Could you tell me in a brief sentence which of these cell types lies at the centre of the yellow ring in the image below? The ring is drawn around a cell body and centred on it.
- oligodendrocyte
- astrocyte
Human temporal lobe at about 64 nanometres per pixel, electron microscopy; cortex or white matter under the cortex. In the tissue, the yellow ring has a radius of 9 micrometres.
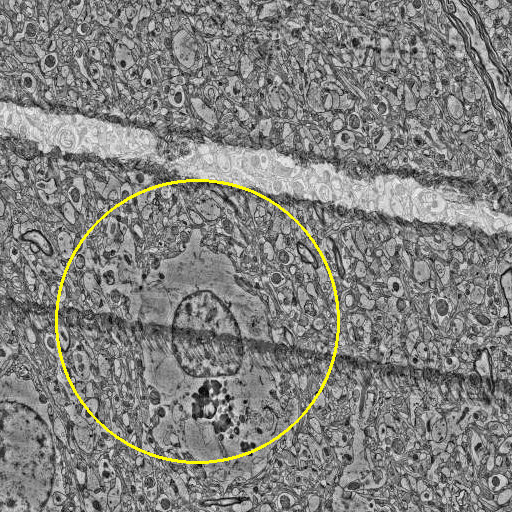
The cell centred in the ring is an astrocyte.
